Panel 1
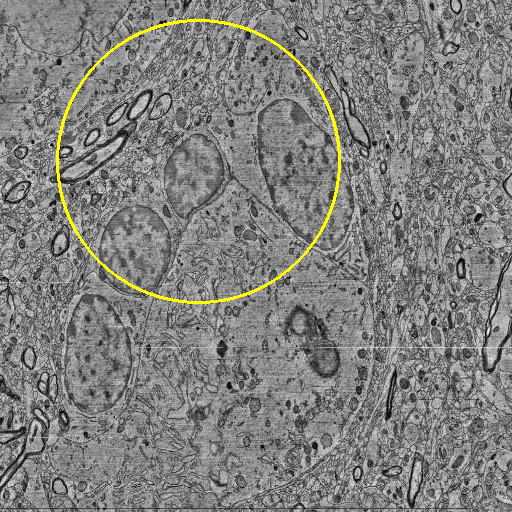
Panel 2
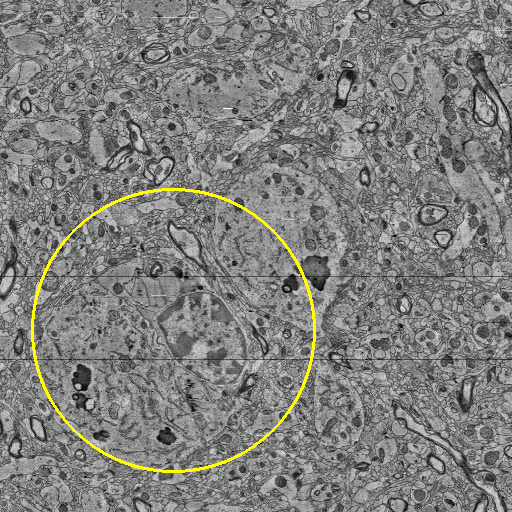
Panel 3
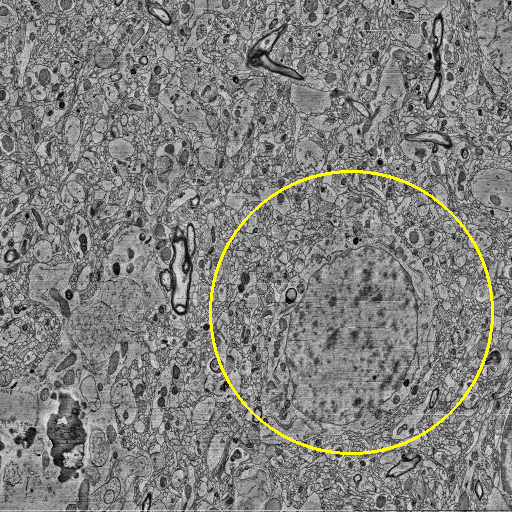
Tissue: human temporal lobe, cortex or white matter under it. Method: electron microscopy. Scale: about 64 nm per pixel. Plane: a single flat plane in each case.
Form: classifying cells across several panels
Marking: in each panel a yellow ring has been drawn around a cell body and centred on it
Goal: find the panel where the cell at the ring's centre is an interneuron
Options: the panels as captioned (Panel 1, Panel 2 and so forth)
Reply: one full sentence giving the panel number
Panel 3 shows the wanted cell at the centre of its ring.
